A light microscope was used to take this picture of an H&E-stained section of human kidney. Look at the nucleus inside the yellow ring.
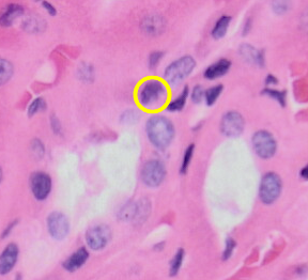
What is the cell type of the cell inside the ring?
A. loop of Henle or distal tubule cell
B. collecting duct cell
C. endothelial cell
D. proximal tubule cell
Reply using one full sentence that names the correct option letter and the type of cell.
Under option B, the cell inside the ring is listed as a collecting duct cell, which is correct.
